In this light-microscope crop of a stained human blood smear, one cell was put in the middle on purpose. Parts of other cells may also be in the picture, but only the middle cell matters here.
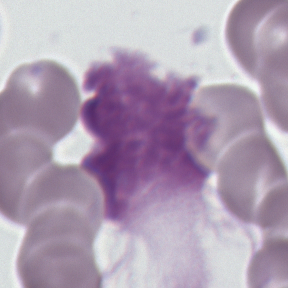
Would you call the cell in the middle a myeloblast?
no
